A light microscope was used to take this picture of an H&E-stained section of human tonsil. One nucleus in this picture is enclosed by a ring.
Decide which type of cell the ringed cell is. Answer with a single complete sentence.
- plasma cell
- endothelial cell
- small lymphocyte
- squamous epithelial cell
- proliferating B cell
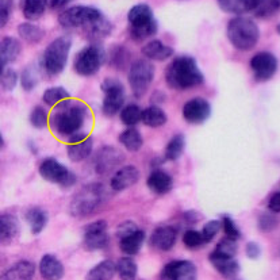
As for its identity, the ringed cell is a proliferating B cell.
